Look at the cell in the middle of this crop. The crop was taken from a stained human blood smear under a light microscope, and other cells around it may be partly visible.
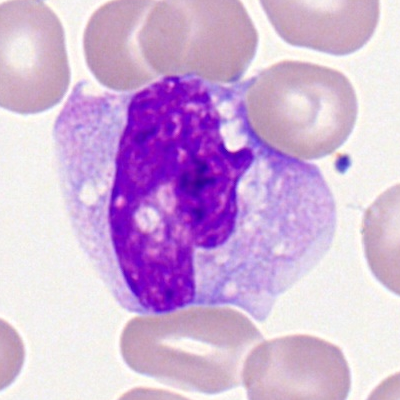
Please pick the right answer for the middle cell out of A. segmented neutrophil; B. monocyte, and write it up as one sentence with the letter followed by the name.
Located in the middle of the crop is a monocyte, and option B is therefore correct.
